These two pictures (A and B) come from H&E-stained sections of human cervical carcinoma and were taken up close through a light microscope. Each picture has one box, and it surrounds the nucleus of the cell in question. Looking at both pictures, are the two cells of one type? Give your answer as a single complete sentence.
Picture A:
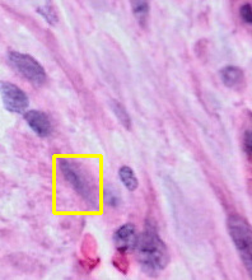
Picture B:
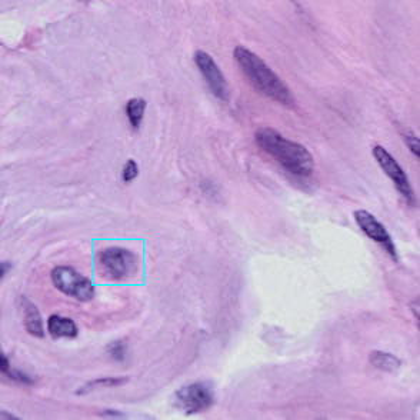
Yes; the cells in both pictures are endothelial cells.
